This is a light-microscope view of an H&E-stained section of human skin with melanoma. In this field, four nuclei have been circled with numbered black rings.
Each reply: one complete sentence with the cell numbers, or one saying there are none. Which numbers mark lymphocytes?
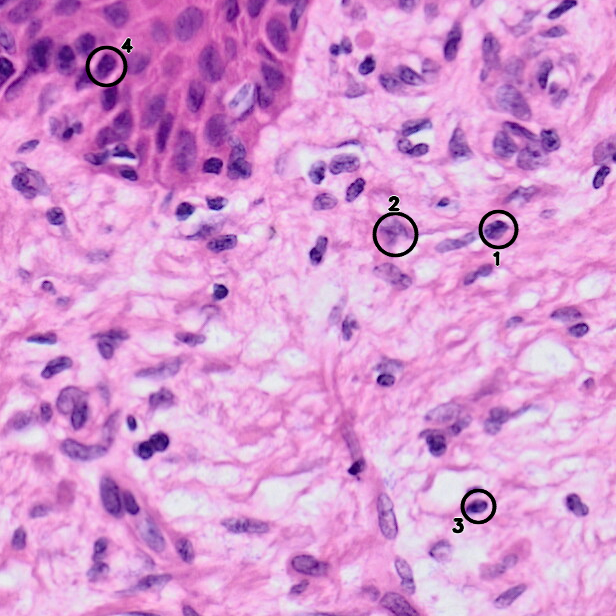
So, the cells with numbers 1 and 3 are lymphocytes.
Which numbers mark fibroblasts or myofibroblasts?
Cell 2 is the only numbered cell that is a fibroblast or myofibroblast.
